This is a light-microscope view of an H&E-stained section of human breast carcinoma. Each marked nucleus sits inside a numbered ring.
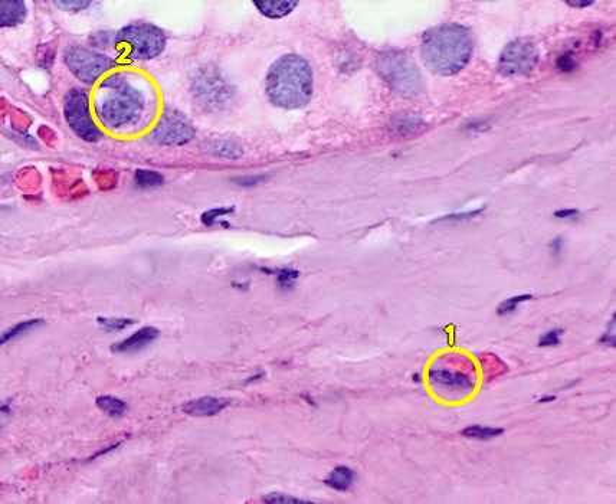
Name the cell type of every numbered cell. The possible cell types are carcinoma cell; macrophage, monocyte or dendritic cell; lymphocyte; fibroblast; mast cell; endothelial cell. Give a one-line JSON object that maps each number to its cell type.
{"1": "endothelial cell", "2": "carcinoma cell"}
